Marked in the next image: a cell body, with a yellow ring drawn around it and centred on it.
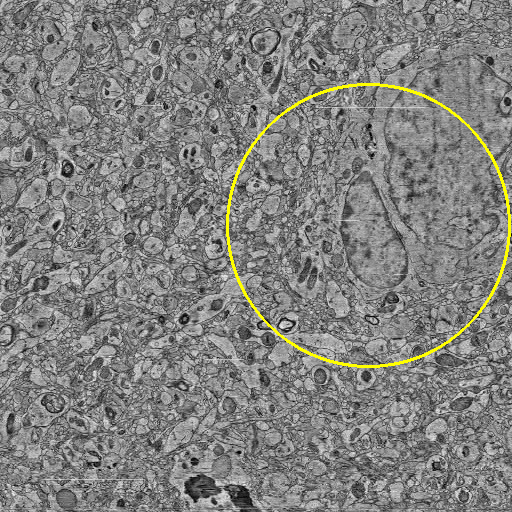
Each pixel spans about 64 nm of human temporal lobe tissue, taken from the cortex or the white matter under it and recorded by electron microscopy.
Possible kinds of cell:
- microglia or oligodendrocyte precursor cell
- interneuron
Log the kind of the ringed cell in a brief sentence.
The ringed cell body is that of a microglial cell or oligodendrocyte precursor cell.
